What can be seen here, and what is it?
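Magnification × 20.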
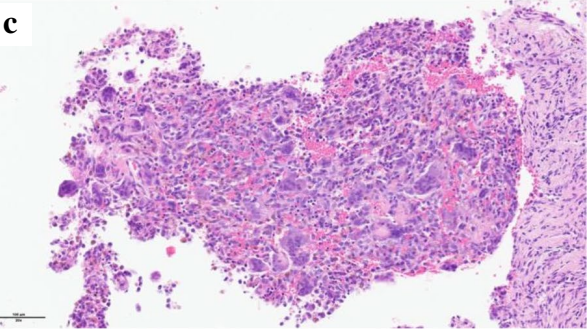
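Cellular lesional tissue with scattered osteoclast-like giant cells set among mononuclear cells, amid hemorrhage. The giant cells are large, with abundant pink to purple cytoplasm and many clustered nuclei. Between them lie smaller round to oval mononuclear cells with dark nuclei. Red blood cells are dispersed throughout the fragment. Bland spindle-cell tissue borders the fragment at the right edge.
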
